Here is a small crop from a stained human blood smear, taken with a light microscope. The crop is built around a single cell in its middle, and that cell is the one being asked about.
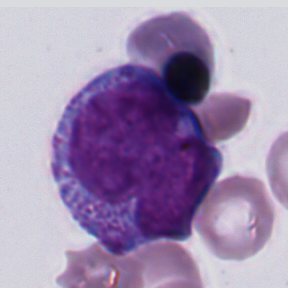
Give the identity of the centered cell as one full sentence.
What sits at the centre of this crop is a promyelocyte.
